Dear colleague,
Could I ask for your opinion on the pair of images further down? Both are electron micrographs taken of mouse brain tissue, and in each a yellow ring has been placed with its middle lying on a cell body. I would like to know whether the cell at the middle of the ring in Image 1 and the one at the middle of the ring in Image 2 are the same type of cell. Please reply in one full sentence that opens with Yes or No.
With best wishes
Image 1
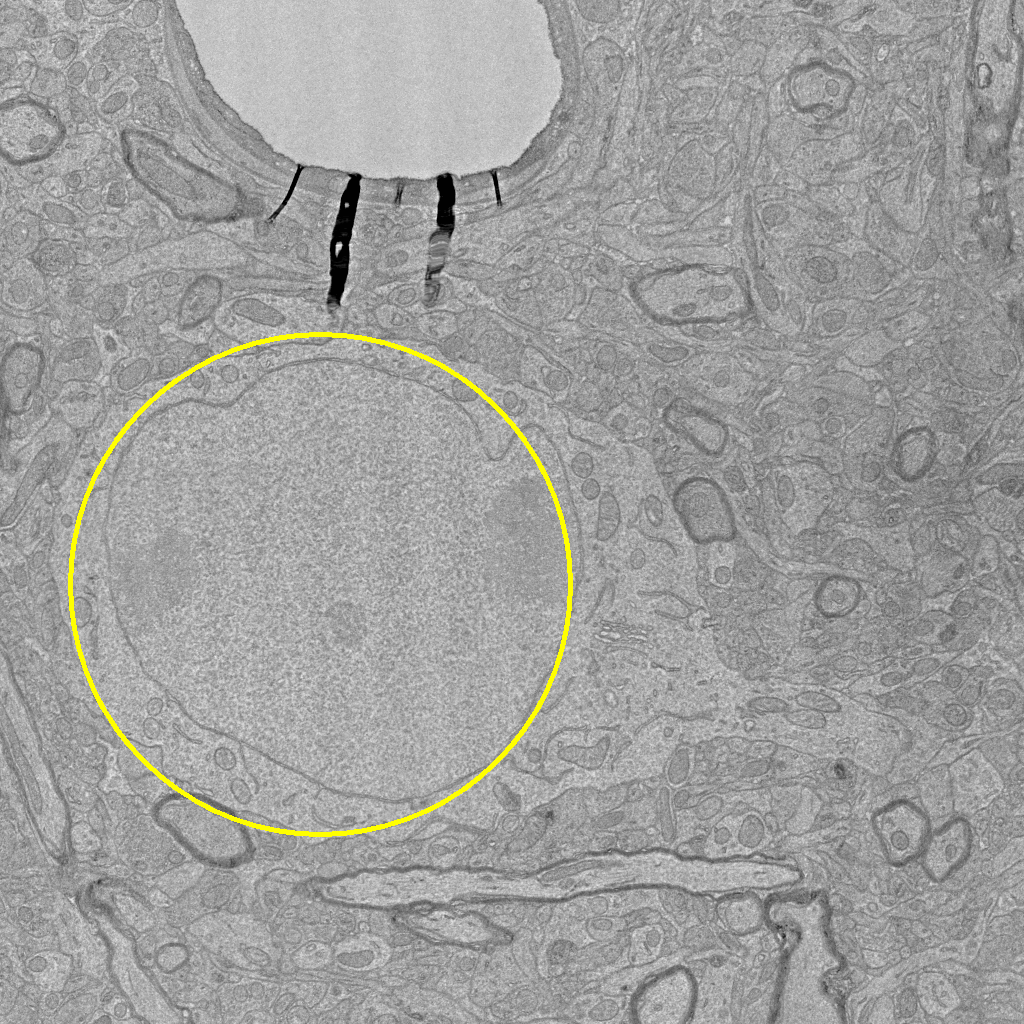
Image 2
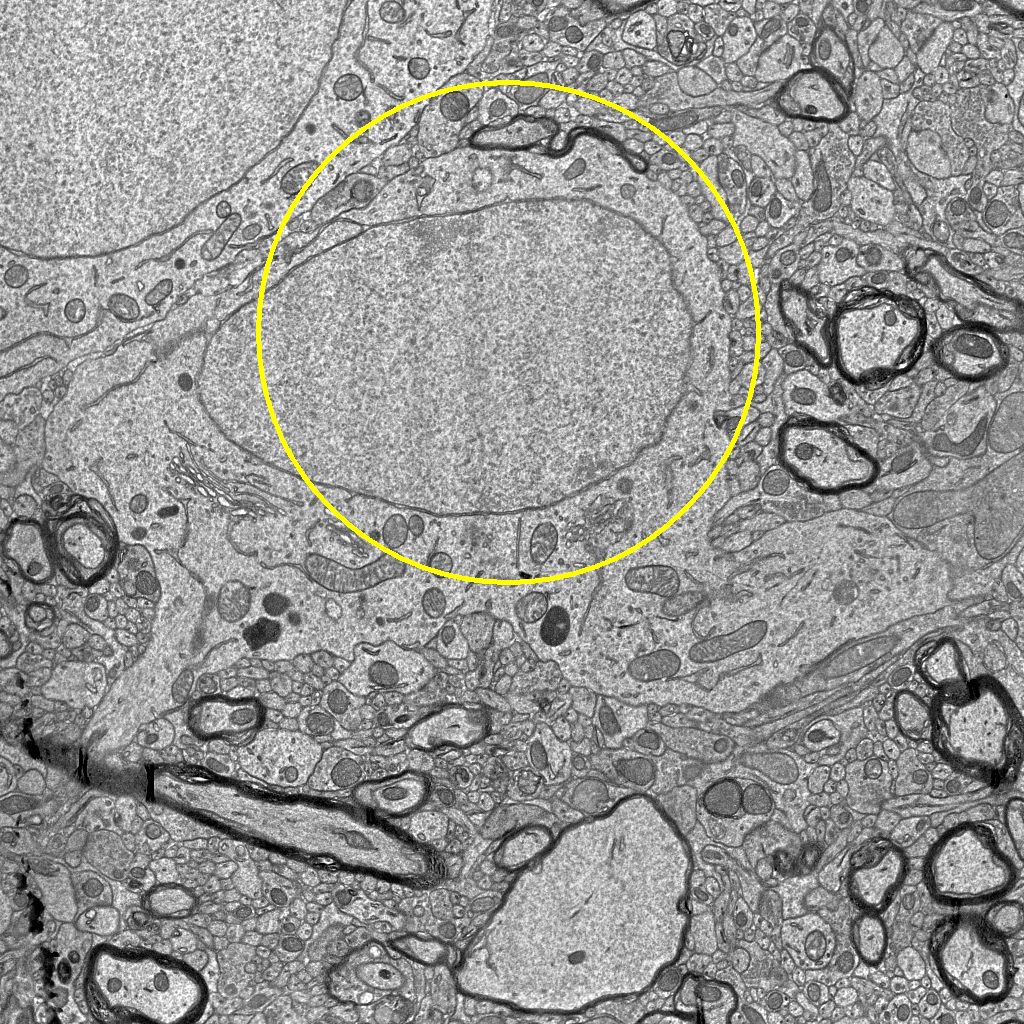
Yes, the cells at the ring centres in Image 1 and Image 2 are of one type.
